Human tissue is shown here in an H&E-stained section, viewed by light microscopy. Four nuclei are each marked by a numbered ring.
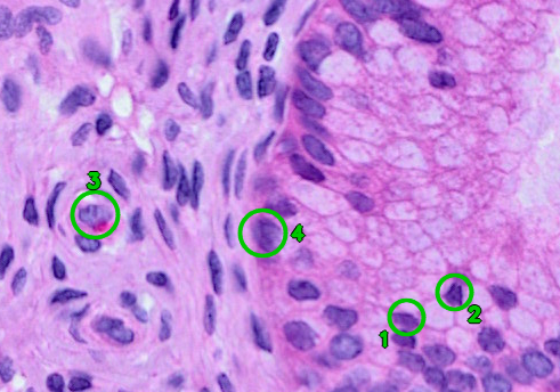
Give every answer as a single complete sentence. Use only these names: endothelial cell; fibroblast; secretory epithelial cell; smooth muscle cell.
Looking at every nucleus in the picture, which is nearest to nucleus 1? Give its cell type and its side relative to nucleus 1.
The closest nucleus belongs to a secretory epithelial cell and sits below nucleus 1.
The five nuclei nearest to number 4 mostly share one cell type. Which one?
Secretory epithelial cells make up most of the five nuclei closest to number 4.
